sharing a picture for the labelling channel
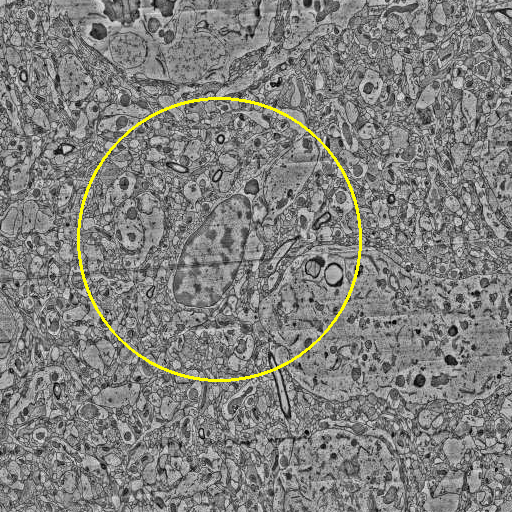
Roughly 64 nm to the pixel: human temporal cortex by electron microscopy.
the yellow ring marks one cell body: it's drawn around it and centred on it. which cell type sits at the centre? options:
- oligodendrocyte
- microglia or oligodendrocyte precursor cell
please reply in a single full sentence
In the picture, the cell at the ring's centre is a microglial cell or oligodendrocyte precursor cell, going by the list.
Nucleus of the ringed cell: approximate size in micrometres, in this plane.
Roughly 8 by 4 micrometres is the size of the nucleus in this plane.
